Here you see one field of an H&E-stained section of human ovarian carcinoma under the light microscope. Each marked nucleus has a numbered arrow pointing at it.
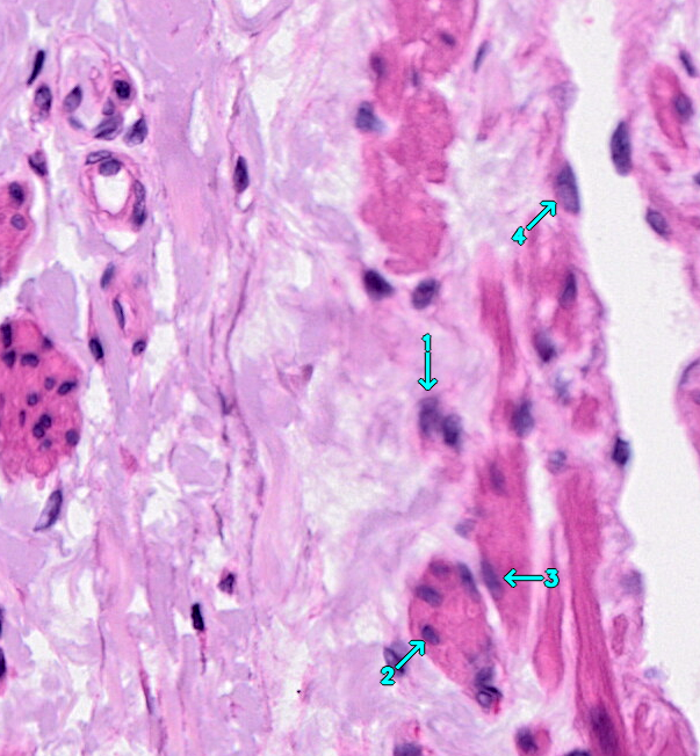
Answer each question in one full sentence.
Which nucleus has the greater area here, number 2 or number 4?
Of the two, number 4 is bigger and takes up about 4 times the area of number 2.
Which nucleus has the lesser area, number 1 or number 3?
It is nucleus 3; nucleus 1 has about 1.5 times its area.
